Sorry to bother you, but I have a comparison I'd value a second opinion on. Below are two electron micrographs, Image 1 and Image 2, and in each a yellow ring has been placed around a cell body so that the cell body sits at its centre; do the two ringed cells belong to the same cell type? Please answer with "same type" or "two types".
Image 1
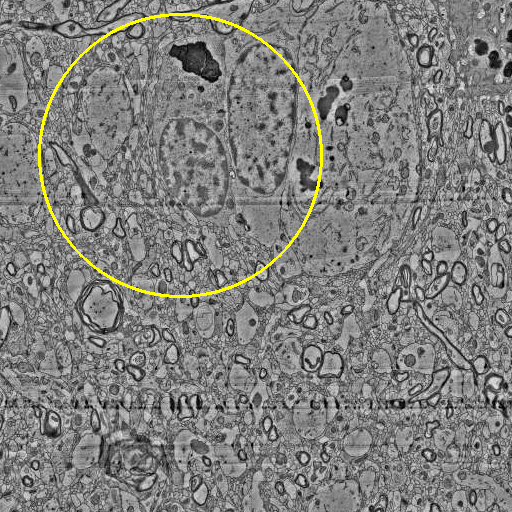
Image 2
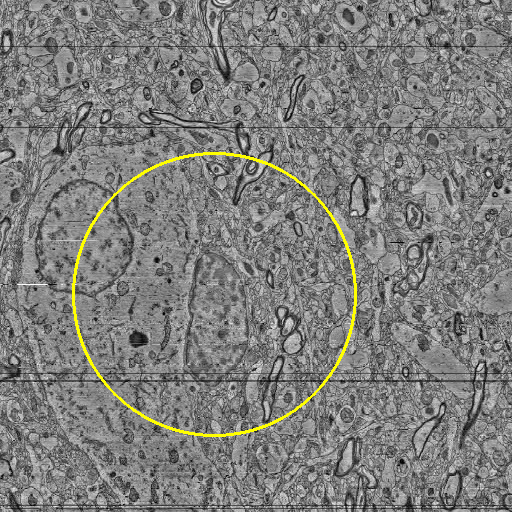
same type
